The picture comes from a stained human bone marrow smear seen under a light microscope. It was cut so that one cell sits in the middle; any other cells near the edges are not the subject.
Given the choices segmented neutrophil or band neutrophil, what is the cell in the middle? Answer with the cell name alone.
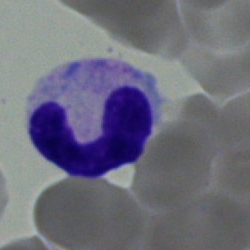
band neutrophil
